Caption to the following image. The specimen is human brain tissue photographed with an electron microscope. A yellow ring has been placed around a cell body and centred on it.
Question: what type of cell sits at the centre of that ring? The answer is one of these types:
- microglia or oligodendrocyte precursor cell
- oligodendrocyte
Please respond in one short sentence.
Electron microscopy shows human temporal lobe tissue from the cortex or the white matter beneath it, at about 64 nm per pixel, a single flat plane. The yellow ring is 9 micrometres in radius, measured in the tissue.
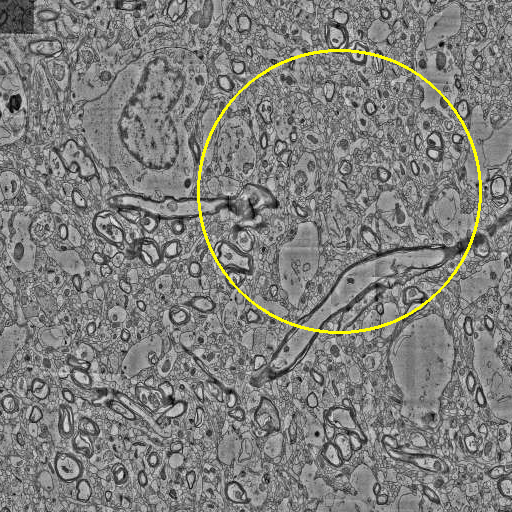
The ring surrounds the cell body of a microglial cell or oligodendrocyte precursor cell.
